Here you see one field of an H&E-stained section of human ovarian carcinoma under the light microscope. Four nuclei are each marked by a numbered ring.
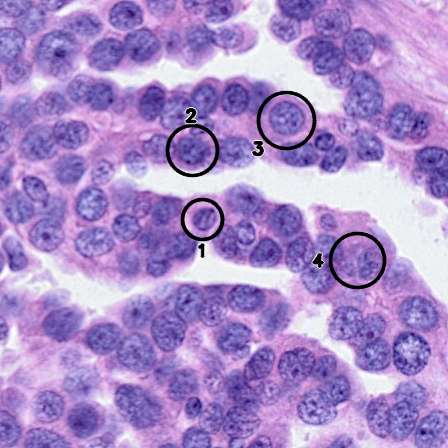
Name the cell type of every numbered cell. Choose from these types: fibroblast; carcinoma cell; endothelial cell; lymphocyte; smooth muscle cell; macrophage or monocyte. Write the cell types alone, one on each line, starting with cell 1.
macrophage or monocyte
carcinoma cell
carcinoma cell
carcinoma cell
